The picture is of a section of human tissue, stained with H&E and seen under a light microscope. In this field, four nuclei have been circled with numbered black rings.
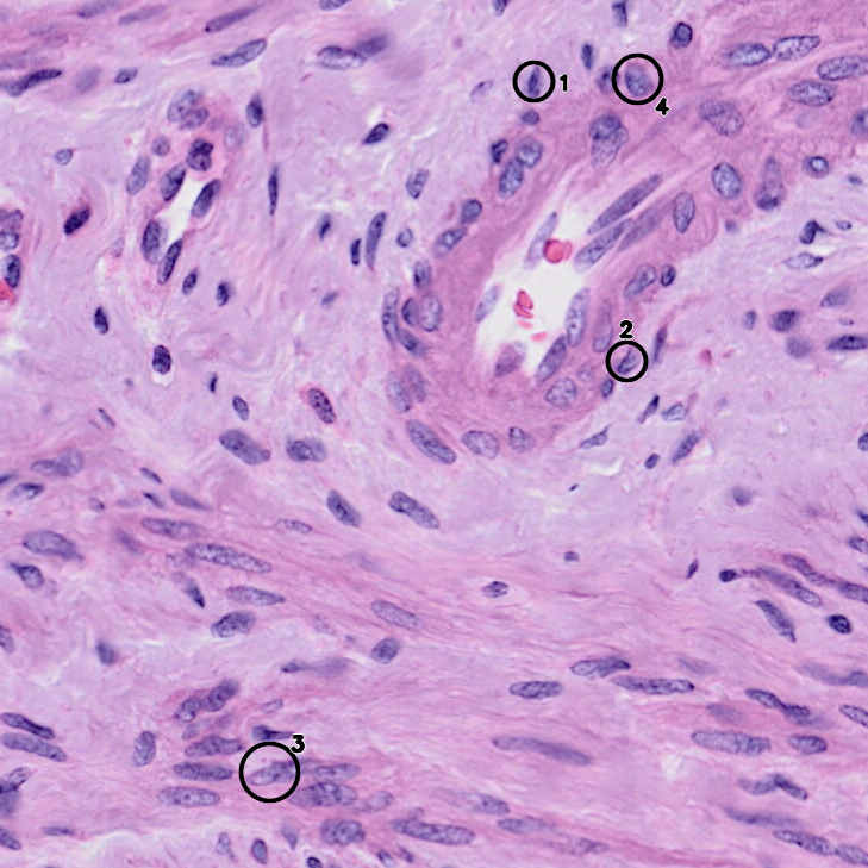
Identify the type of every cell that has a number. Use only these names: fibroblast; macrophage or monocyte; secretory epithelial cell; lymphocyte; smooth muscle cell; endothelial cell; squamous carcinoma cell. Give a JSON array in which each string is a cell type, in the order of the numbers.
["fibroblast", "smooth muscle cell", "smooth muscle cell", "smooth muscle cell"]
